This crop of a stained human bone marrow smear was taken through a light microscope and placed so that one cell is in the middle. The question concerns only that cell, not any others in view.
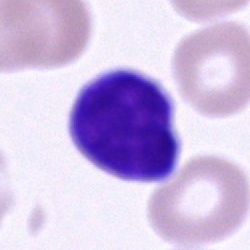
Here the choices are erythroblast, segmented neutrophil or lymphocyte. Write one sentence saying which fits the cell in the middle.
Seen at the centre of the crop is a lymphocyte.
